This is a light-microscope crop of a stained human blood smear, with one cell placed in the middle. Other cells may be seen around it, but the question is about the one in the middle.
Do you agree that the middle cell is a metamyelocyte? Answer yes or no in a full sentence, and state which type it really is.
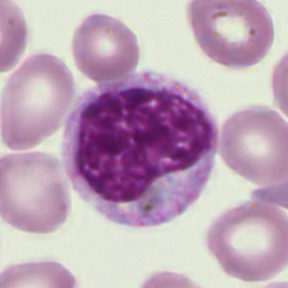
Yes, as regards the cell in the middle, it is a metamyelocyte.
